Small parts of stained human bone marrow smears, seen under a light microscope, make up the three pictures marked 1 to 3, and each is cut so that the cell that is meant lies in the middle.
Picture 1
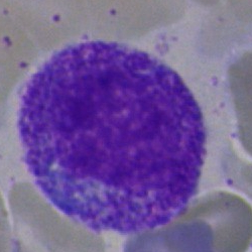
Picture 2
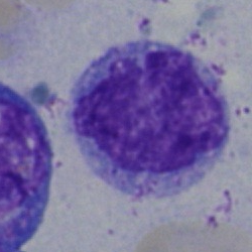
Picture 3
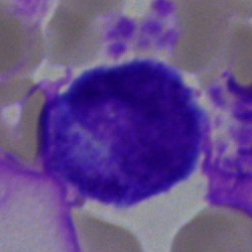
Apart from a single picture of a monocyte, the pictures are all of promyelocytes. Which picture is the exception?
2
